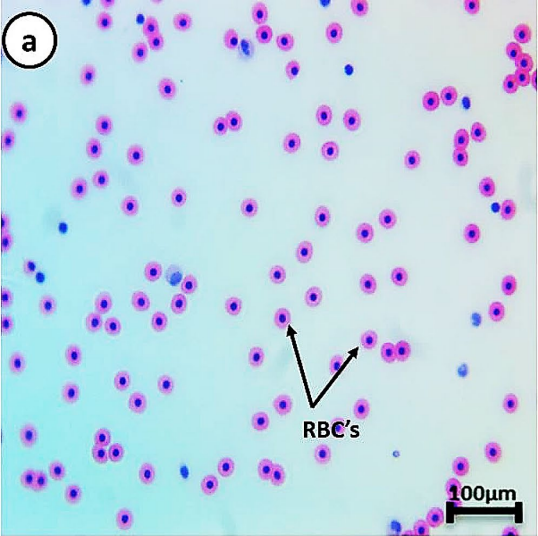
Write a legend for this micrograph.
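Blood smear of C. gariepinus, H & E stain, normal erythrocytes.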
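The cells are much alike in size and shape, with smooth outlines. Most lie singly, a few touch in pairs or small groups. Scattered among them are a few small, deeply blue-stained bodies without a pink rim. The background is clear and pale.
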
